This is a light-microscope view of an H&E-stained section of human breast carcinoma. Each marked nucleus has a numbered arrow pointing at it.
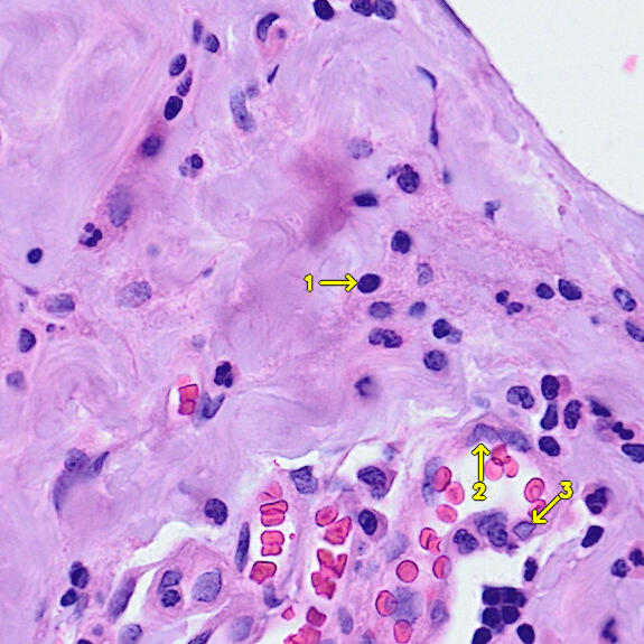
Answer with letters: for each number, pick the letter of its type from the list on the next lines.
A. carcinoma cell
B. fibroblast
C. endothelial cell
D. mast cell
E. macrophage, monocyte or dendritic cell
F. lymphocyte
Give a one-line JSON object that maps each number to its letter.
{"1": "F", "2": "C", "3": "C"}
